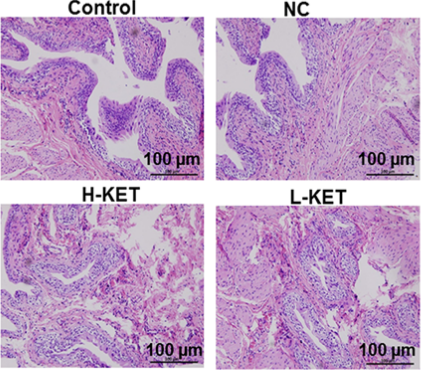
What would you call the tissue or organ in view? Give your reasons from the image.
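Folded mucosa lined by a multilayered epithelium of densely packed cells with purple nuclei. Pink fibrous connective tissue lies beneath and between the epithelial folds. Open lumen spaces lie between the folds.
Bladder tissues.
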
